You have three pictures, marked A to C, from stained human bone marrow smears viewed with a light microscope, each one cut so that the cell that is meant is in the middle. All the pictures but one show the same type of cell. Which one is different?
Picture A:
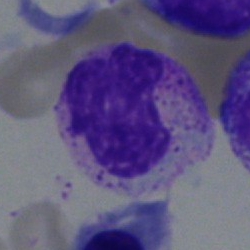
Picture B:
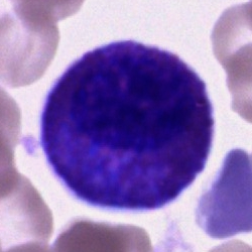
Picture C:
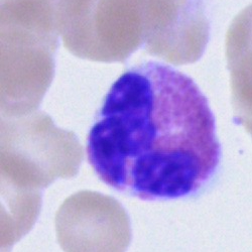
A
